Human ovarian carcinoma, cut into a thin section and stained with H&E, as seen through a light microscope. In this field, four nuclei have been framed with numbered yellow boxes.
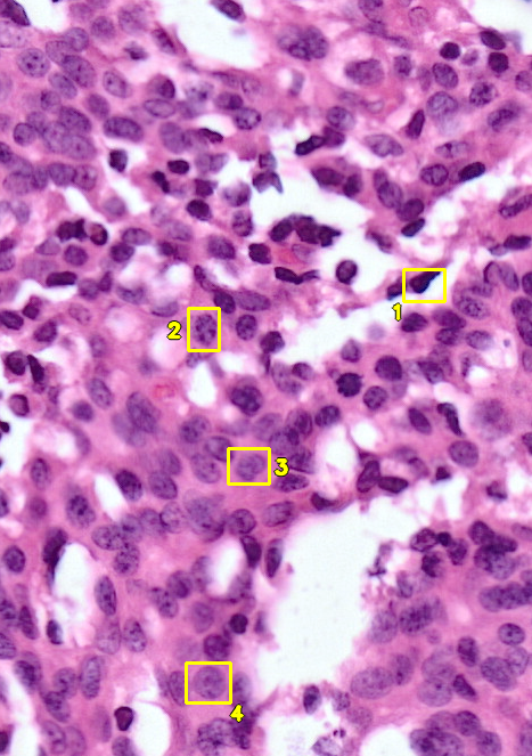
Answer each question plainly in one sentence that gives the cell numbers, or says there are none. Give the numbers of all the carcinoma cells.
Cells 1, 3 and 4 are of one type, namely carcinoma cells.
